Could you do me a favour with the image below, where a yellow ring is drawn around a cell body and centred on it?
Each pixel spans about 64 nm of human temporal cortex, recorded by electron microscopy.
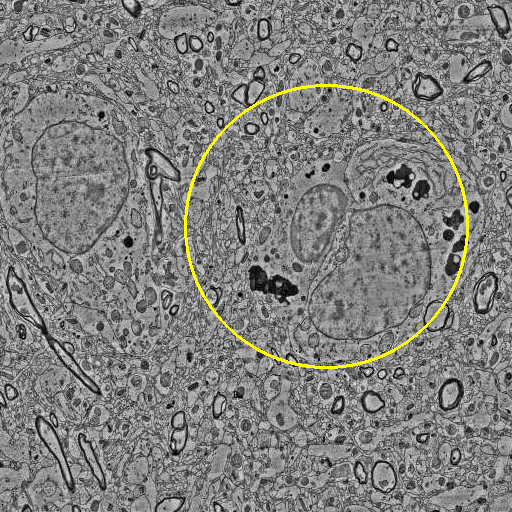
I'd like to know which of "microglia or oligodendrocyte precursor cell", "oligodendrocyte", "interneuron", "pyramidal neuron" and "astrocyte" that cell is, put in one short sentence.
The cell at the ring's centre is an oligodendrocyte.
